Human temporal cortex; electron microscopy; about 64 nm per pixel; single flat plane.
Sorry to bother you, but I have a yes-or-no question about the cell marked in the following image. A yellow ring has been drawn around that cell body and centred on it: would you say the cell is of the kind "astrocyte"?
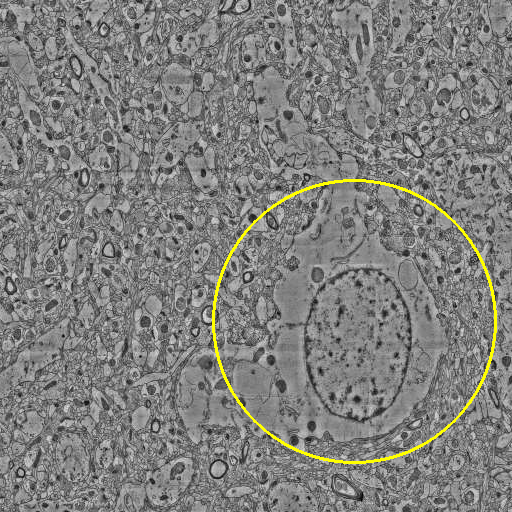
yes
